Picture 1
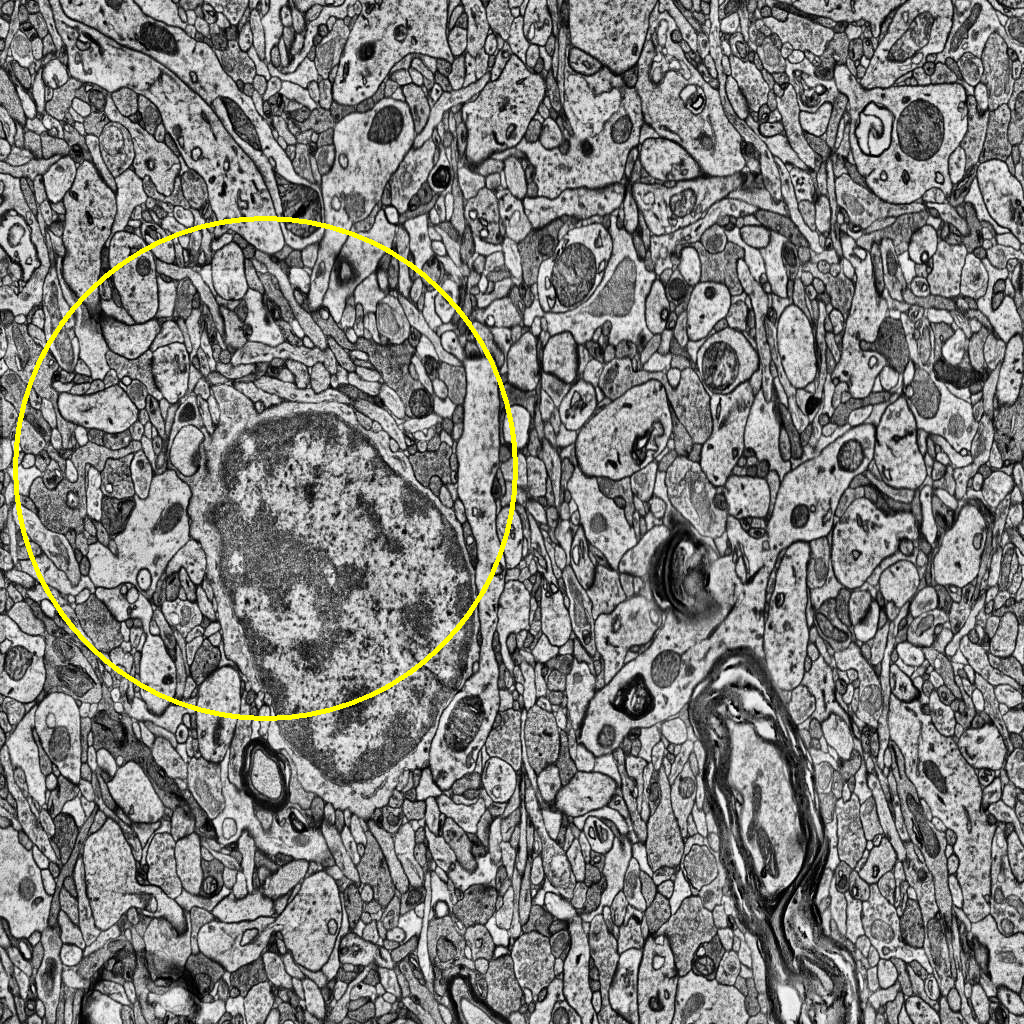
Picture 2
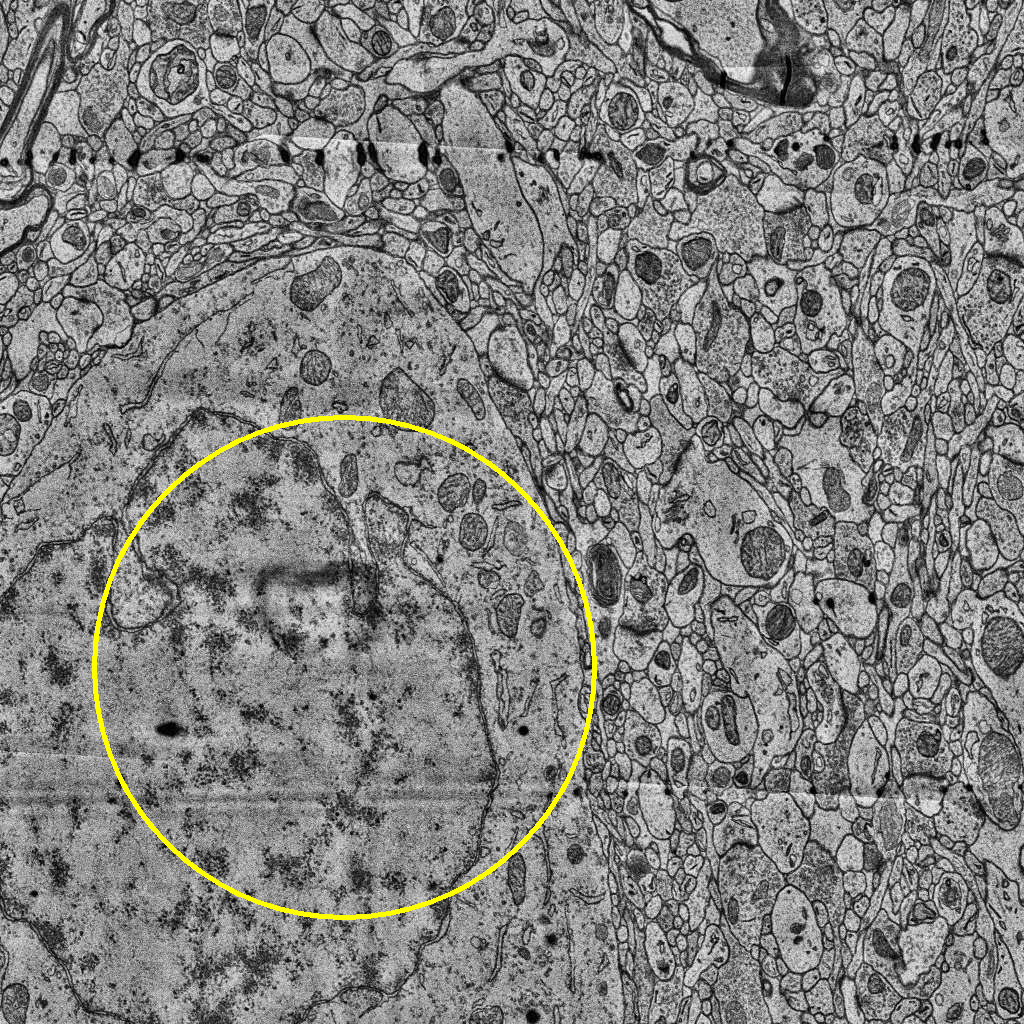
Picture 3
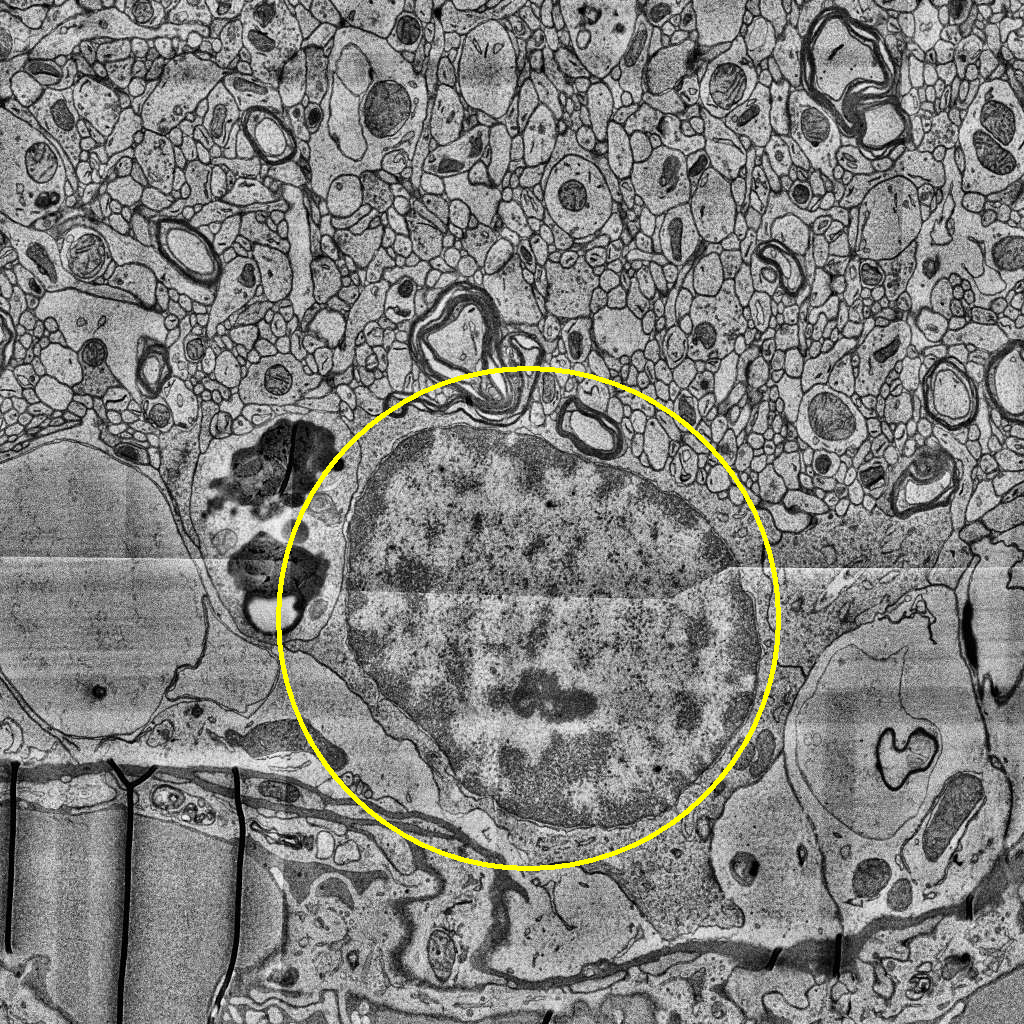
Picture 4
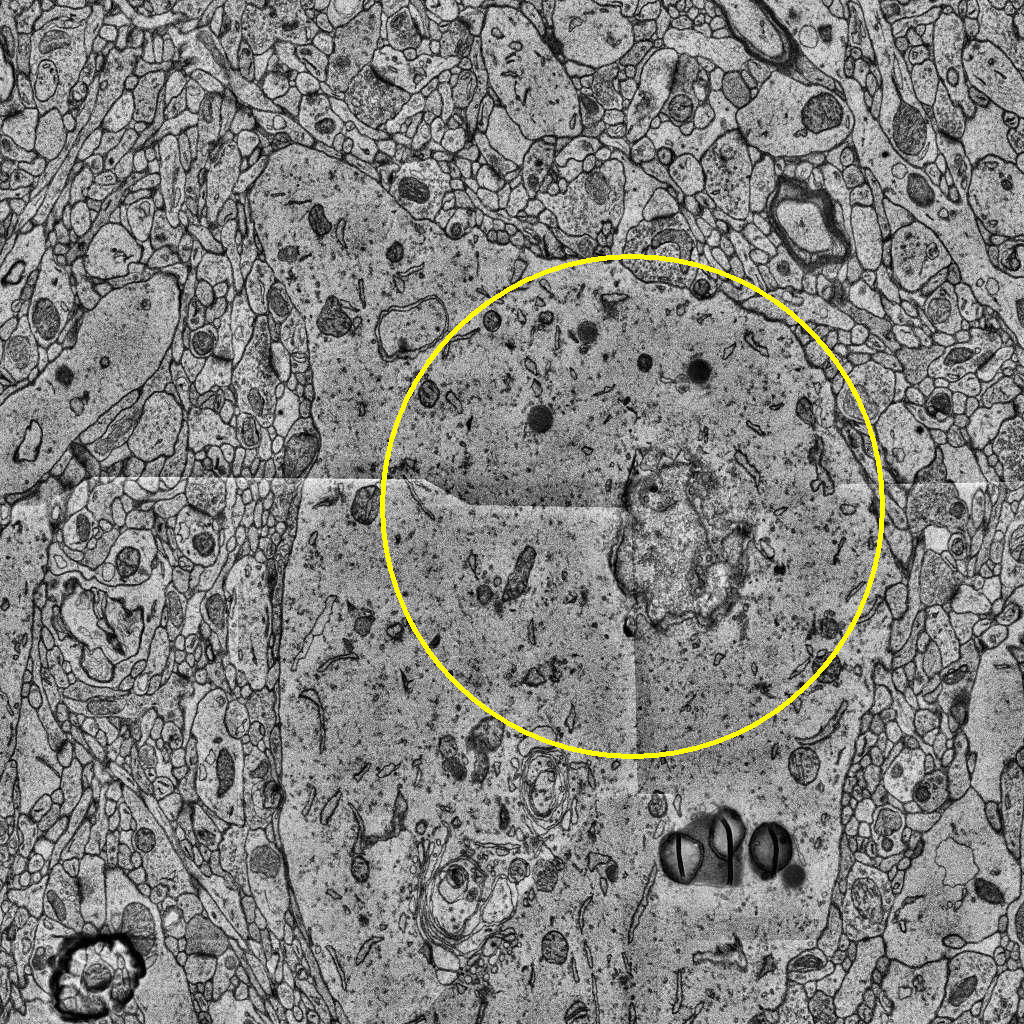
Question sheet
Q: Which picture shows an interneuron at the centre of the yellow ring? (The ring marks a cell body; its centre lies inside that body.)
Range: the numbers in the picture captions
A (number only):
2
